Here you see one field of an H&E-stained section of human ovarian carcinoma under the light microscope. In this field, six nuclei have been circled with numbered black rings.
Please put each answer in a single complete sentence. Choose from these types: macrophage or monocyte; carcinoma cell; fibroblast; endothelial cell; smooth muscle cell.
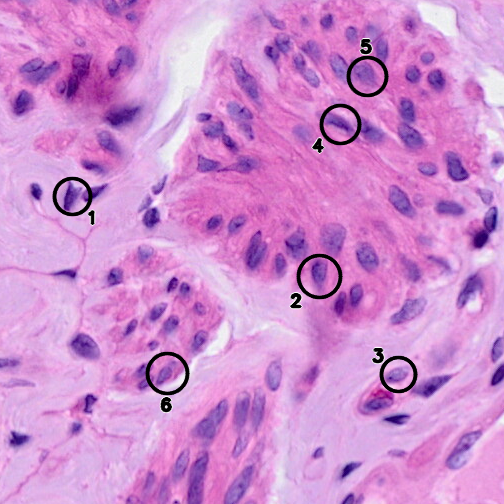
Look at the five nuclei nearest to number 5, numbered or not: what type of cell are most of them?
Most of the five nuclei nearest to number 5 are those of smooth muscle cells.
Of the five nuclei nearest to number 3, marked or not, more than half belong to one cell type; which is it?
Of the five nuclei nearest to number 3, most belong to fibroblasts.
